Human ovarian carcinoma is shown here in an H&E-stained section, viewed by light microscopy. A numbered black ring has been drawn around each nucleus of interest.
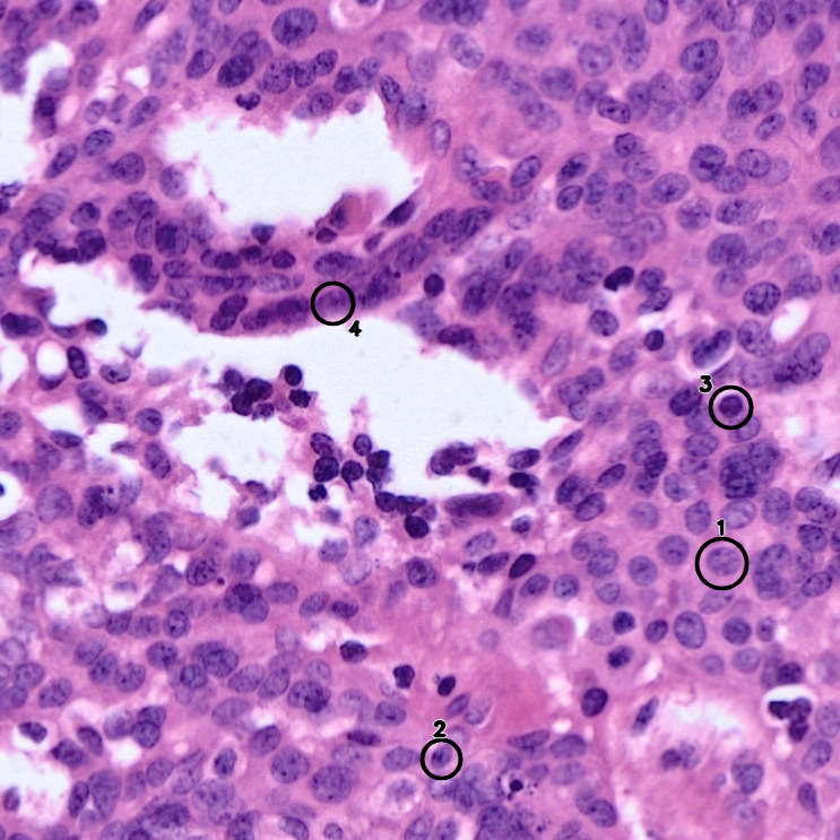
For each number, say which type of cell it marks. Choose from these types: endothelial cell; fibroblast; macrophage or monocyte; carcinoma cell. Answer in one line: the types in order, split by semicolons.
carcinoma cell; macrophage or monocyte; carcinoma cell; carcinoma cell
